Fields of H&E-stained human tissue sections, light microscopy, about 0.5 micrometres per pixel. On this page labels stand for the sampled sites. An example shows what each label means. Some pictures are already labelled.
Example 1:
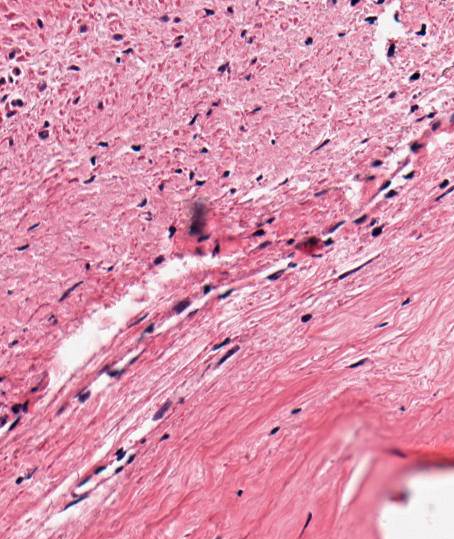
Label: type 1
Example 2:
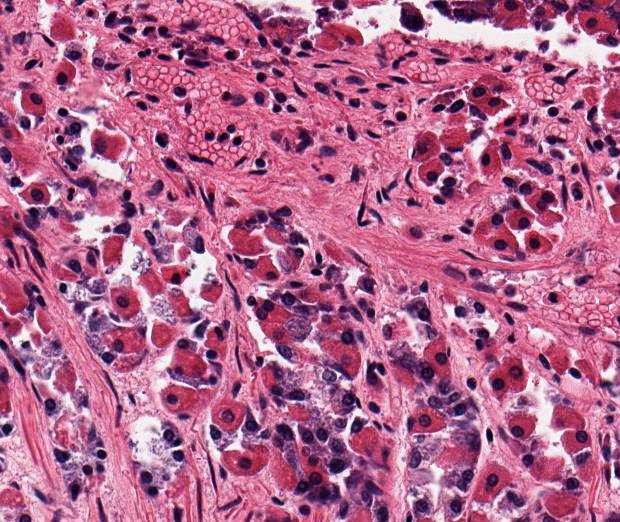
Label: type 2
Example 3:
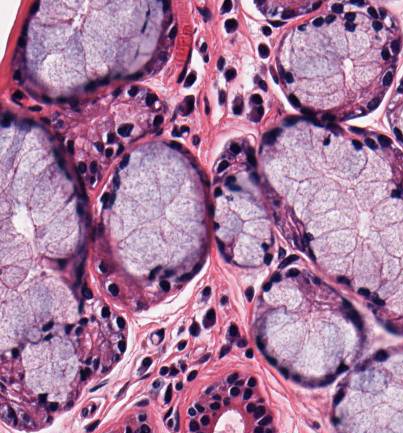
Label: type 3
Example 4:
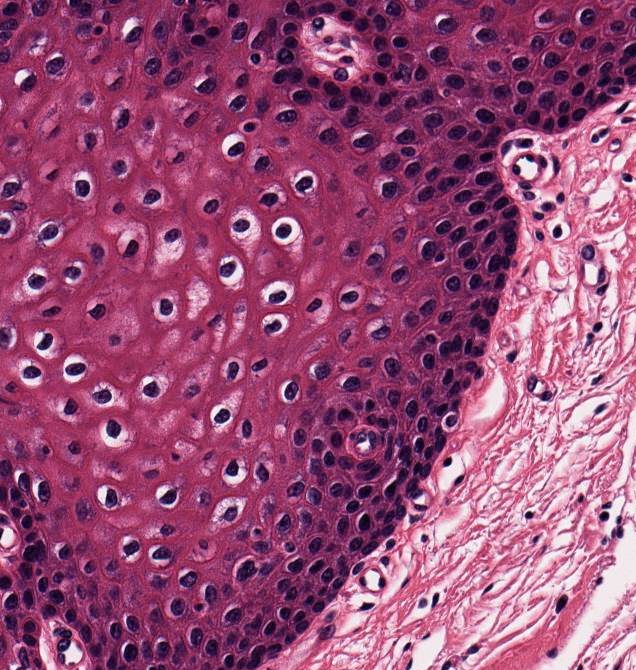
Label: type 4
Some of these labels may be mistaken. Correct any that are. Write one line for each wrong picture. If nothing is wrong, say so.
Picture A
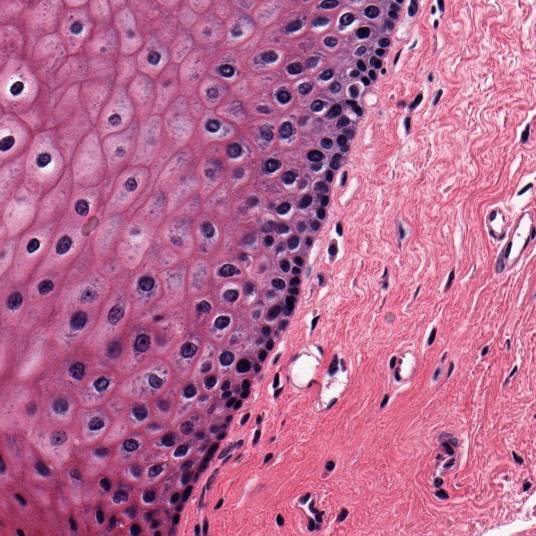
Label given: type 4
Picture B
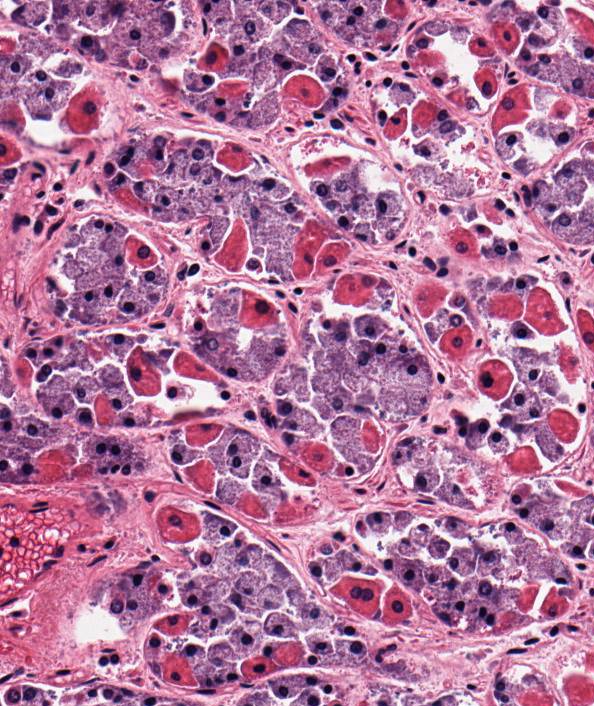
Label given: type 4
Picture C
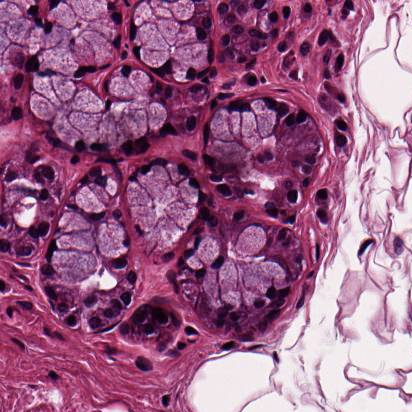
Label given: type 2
B: change type 4 to type 2
C: change type 2 to type 3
